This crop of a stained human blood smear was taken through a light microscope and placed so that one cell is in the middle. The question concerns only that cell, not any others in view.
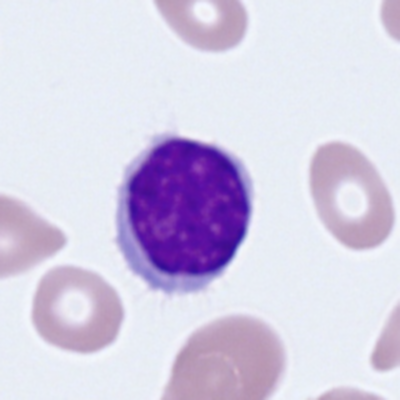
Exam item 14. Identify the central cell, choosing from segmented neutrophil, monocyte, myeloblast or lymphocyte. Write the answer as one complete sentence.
The cell of interest, located centrally, is a lymphocyte.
